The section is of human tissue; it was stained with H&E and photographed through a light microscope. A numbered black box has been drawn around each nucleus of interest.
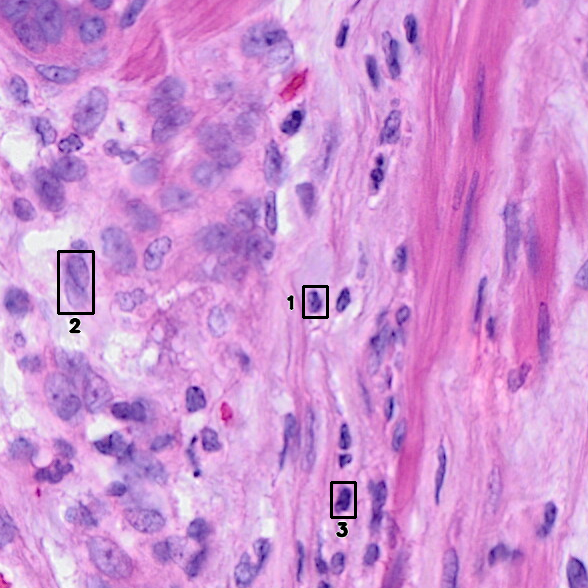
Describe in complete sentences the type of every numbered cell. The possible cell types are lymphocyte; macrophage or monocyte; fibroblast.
Cell 1 is a lymphocyte, cell 2 is a fibroblast and cell 3 is a lymphocyte.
